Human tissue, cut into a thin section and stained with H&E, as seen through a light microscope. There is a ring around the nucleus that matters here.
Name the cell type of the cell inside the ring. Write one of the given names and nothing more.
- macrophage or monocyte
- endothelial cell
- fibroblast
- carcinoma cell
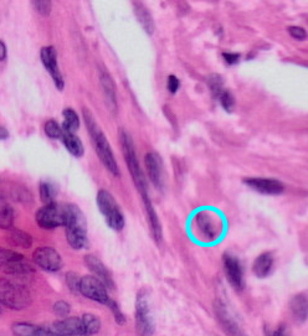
fibroblast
